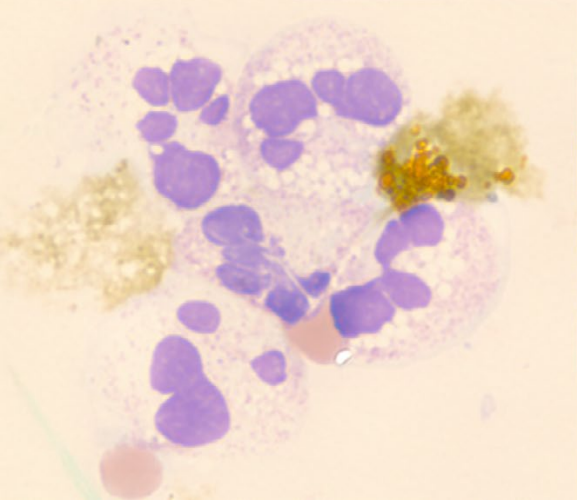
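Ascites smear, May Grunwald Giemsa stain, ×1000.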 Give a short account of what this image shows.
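The cytoplasm is pale pink-grey, finely granular and contains small clear vacuoles. Beside the cells lies amorphous greenish-yellow material with a small clump of golden-orange granules.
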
